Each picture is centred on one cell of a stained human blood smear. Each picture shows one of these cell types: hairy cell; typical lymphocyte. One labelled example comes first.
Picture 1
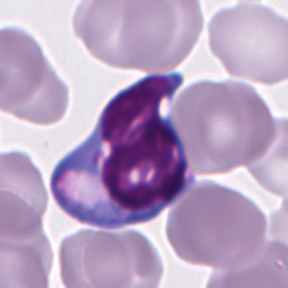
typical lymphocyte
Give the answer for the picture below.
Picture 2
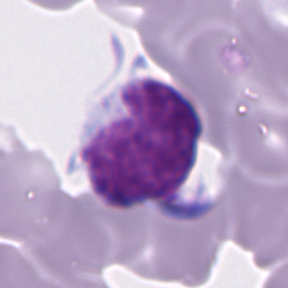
typical lymphocyte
